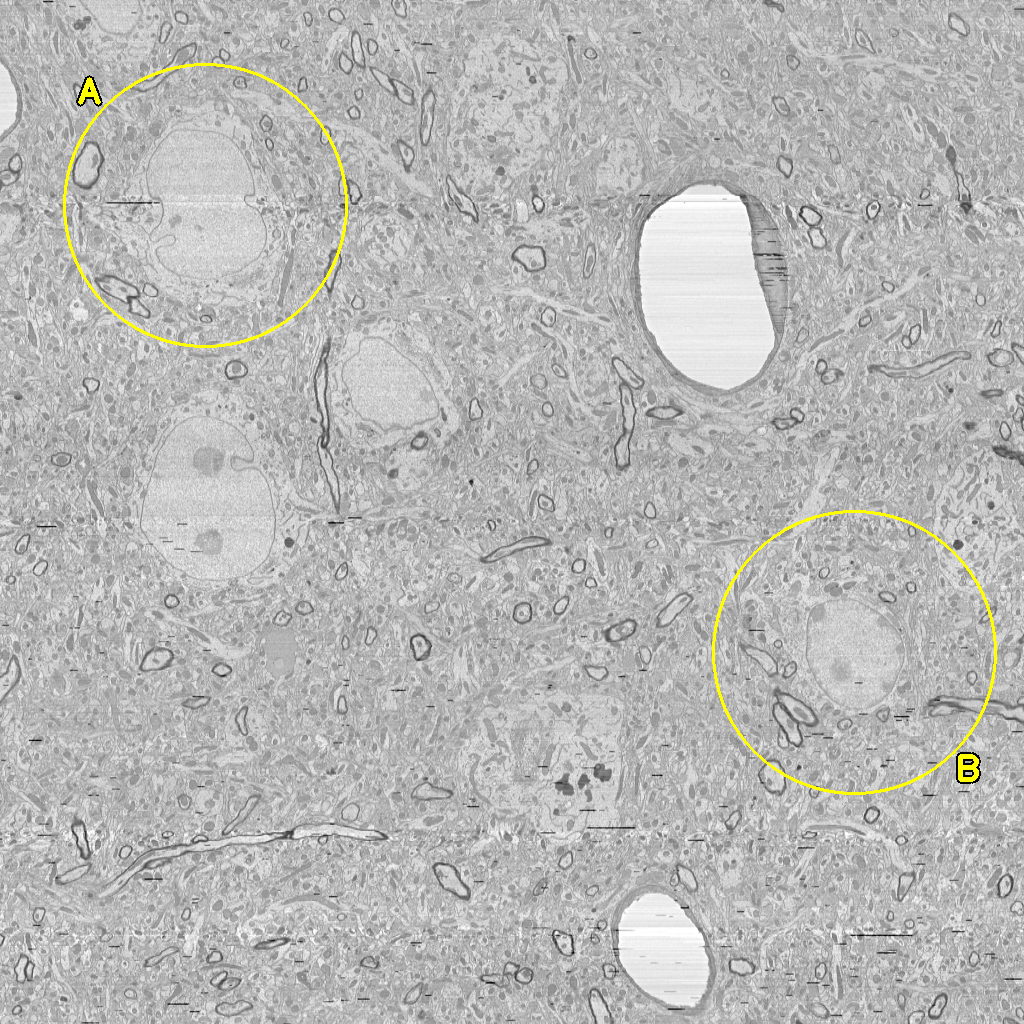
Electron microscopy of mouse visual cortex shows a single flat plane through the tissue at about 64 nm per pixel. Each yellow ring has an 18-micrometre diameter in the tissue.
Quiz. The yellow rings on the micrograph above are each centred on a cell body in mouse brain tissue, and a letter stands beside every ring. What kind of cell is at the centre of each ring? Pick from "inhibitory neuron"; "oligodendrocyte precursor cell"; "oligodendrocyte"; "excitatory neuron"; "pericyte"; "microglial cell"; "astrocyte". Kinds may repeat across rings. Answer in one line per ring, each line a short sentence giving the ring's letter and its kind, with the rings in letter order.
The ring labelled A has an excitatory neuron at its centre.
The ring labelled B has an astrocyte at its centre.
